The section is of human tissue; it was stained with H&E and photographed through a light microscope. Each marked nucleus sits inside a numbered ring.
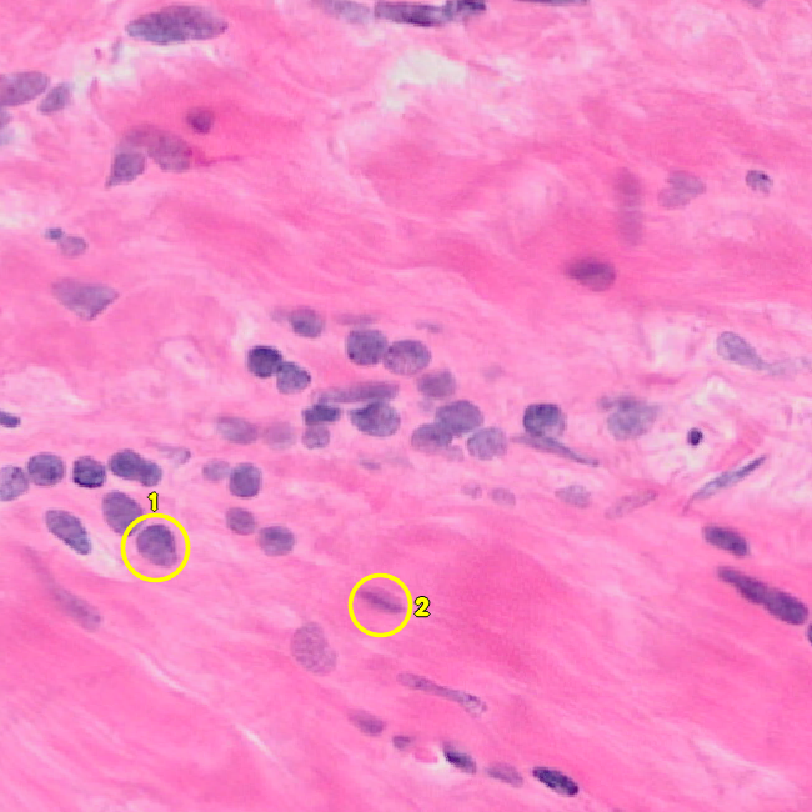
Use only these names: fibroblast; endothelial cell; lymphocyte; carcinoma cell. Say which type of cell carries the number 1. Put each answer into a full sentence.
The cell whose nucleus carries the number 1 is a carcinoma cell.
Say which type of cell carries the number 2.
In this section, the cell tagged 2 is a fibroblast.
